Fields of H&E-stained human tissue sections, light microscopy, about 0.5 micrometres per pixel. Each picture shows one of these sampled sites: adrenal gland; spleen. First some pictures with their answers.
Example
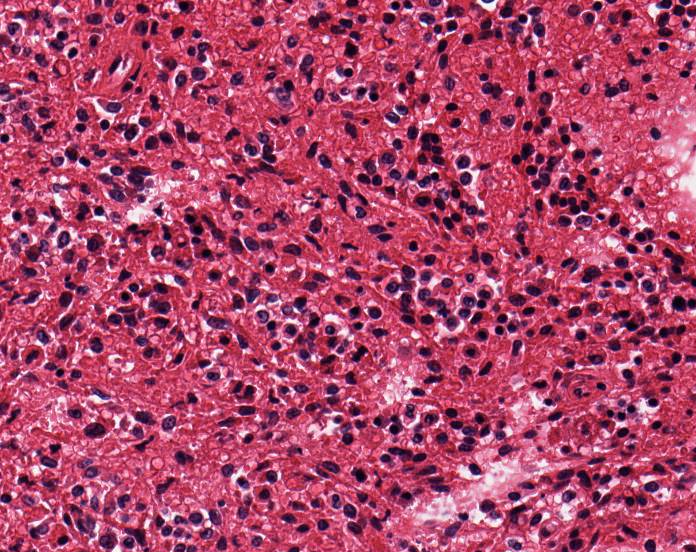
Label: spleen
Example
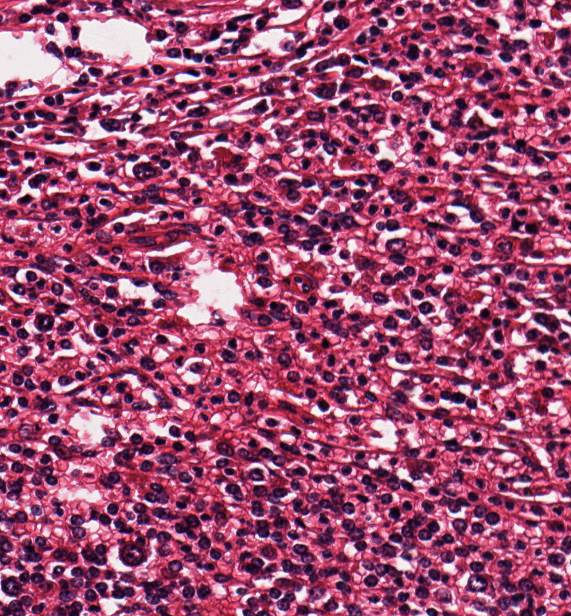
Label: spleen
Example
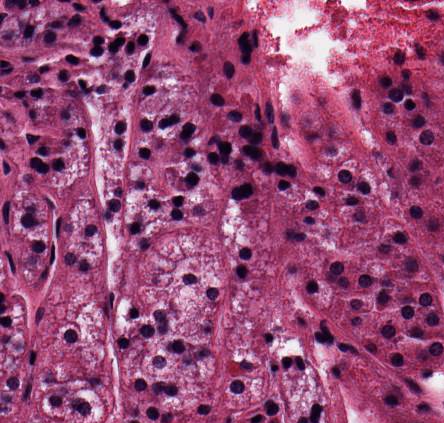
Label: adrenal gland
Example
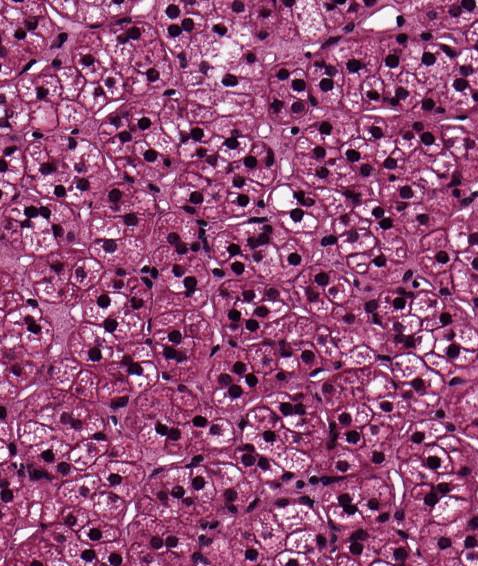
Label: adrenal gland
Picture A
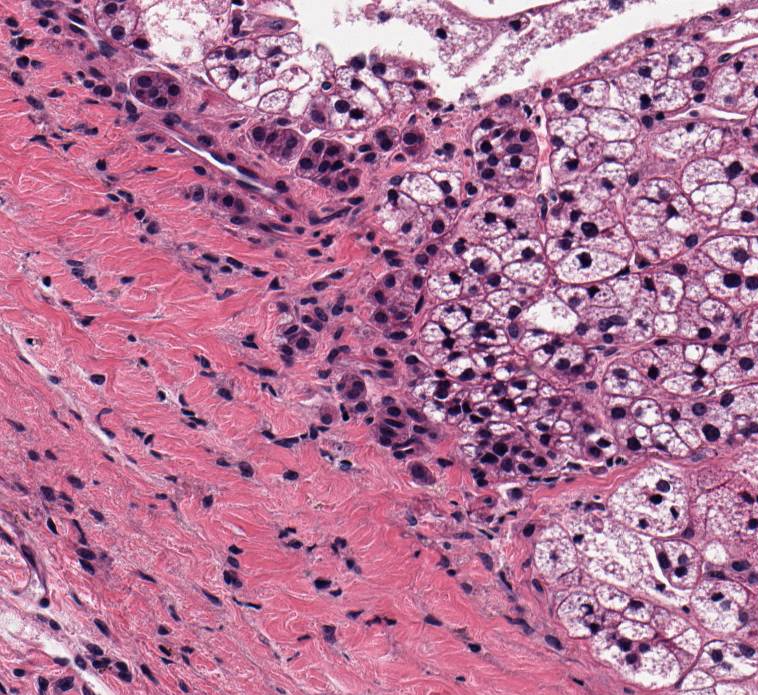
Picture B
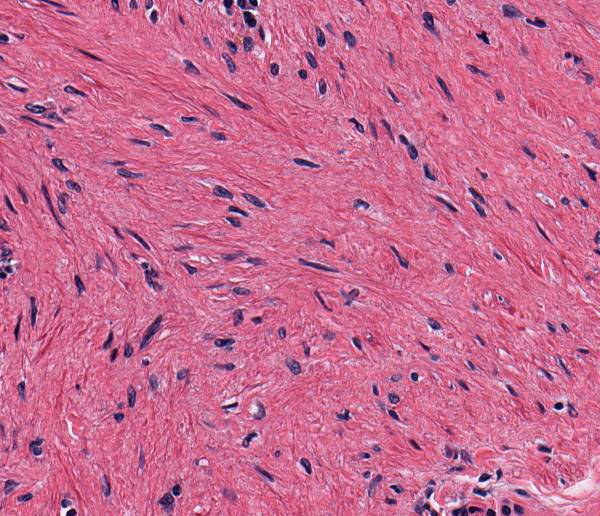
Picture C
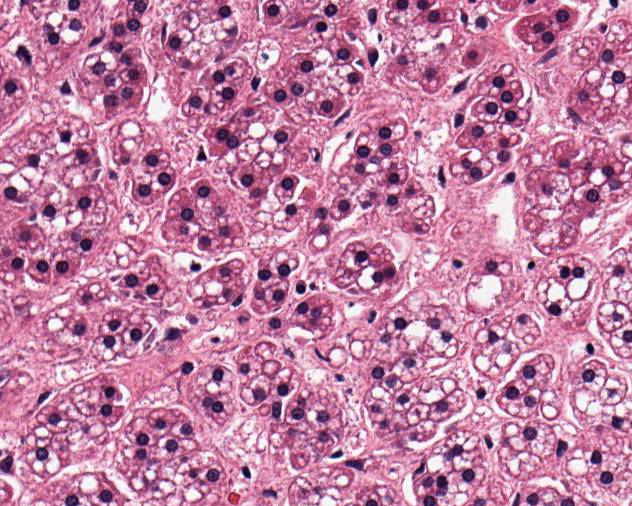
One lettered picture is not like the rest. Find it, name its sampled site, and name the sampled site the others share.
B (spleen) is the exception; every other picture is adrenal gland.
